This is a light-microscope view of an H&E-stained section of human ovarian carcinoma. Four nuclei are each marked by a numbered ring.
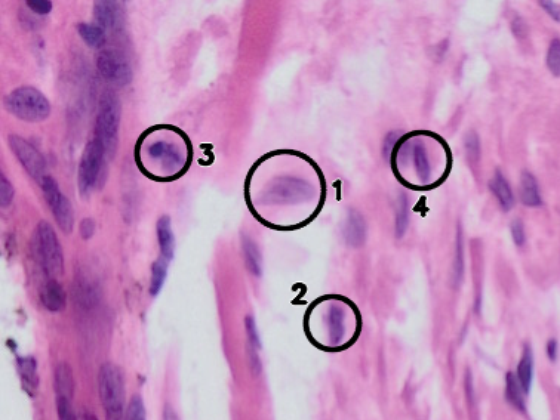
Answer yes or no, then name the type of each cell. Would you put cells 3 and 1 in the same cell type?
No, that's off: cell 3 is a macrophage or monocyte and cell 1 is a fibroblast.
